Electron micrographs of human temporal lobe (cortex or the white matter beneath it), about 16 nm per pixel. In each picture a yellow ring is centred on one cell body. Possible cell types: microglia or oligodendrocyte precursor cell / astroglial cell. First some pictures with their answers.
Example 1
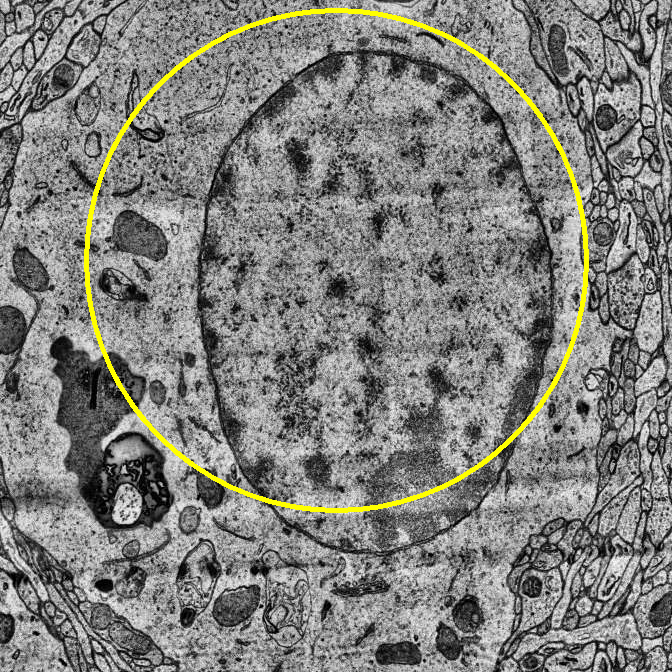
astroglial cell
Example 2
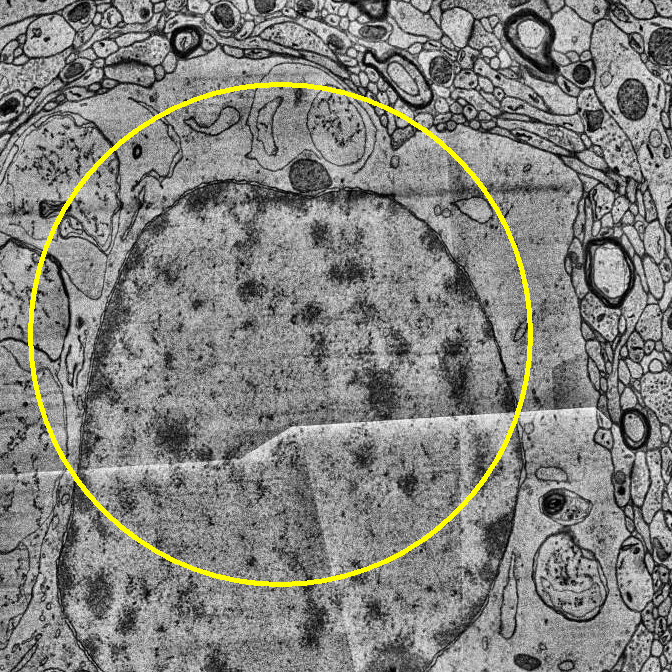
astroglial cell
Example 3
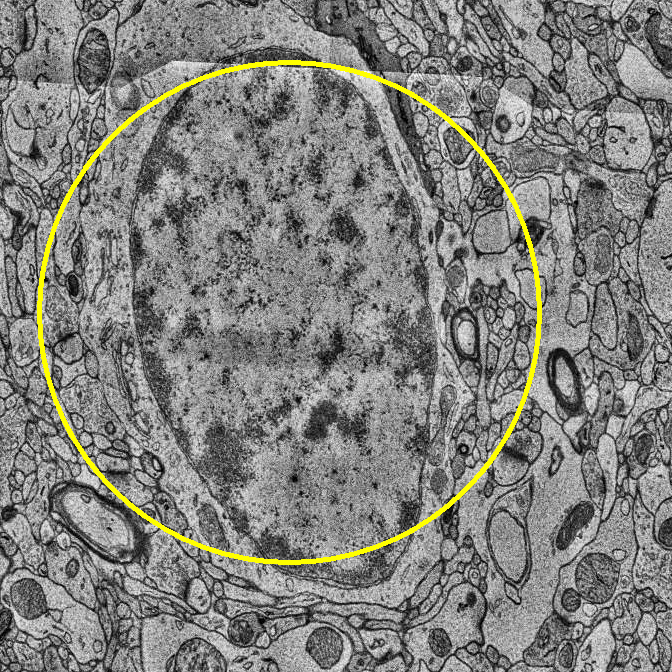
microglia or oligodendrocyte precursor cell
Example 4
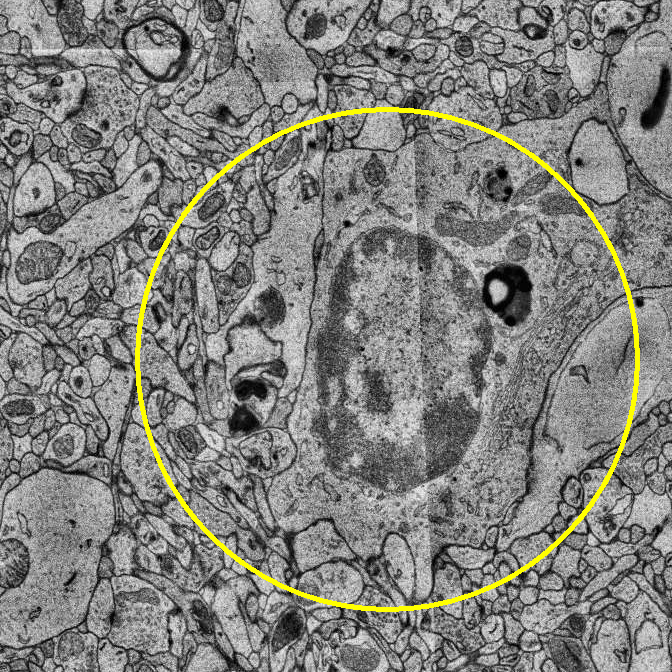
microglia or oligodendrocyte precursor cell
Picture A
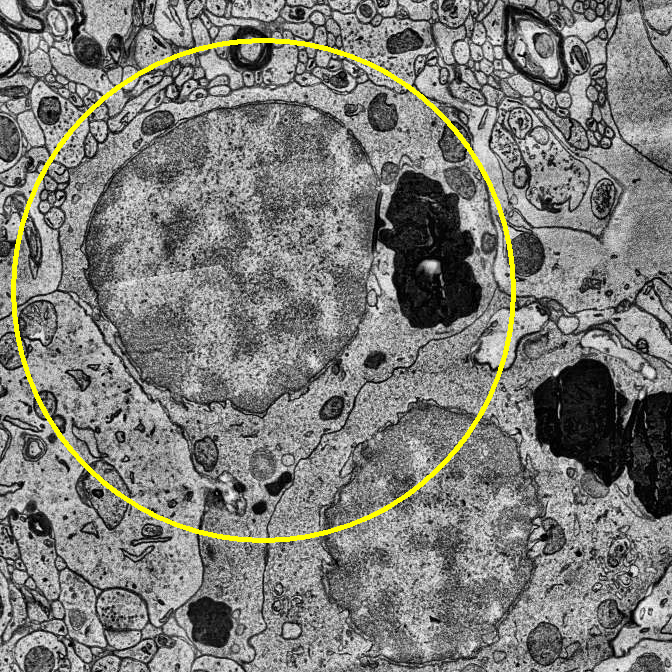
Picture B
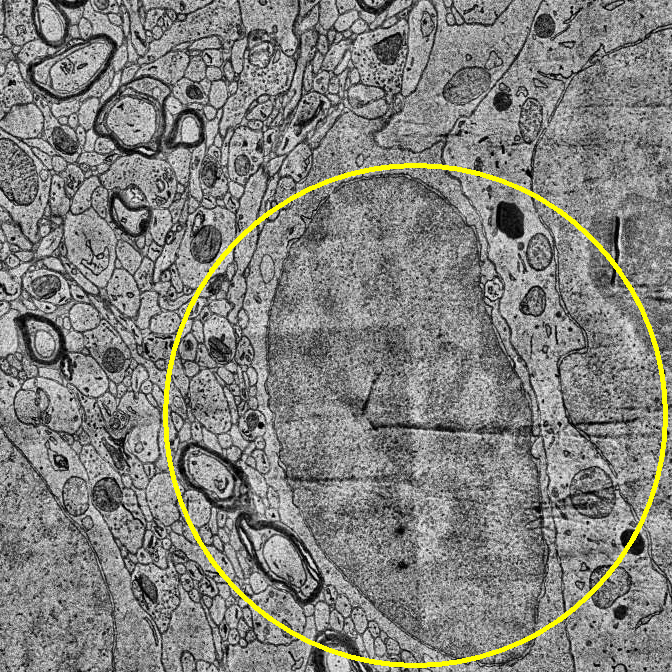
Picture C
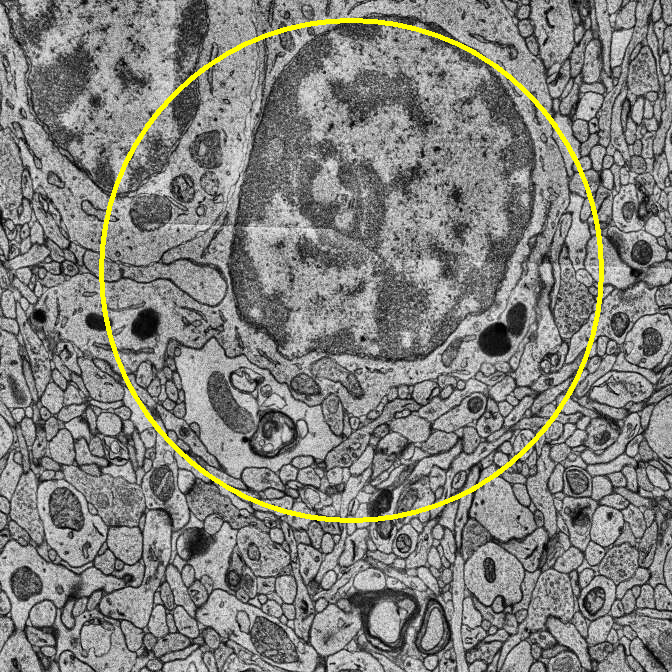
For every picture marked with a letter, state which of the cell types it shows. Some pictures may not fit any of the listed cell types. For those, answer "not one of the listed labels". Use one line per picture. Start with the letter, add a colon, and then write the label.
A: not one of the listed labels
B: not one of the listed labels
C: microglia or oligodendrocyte precursor cell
